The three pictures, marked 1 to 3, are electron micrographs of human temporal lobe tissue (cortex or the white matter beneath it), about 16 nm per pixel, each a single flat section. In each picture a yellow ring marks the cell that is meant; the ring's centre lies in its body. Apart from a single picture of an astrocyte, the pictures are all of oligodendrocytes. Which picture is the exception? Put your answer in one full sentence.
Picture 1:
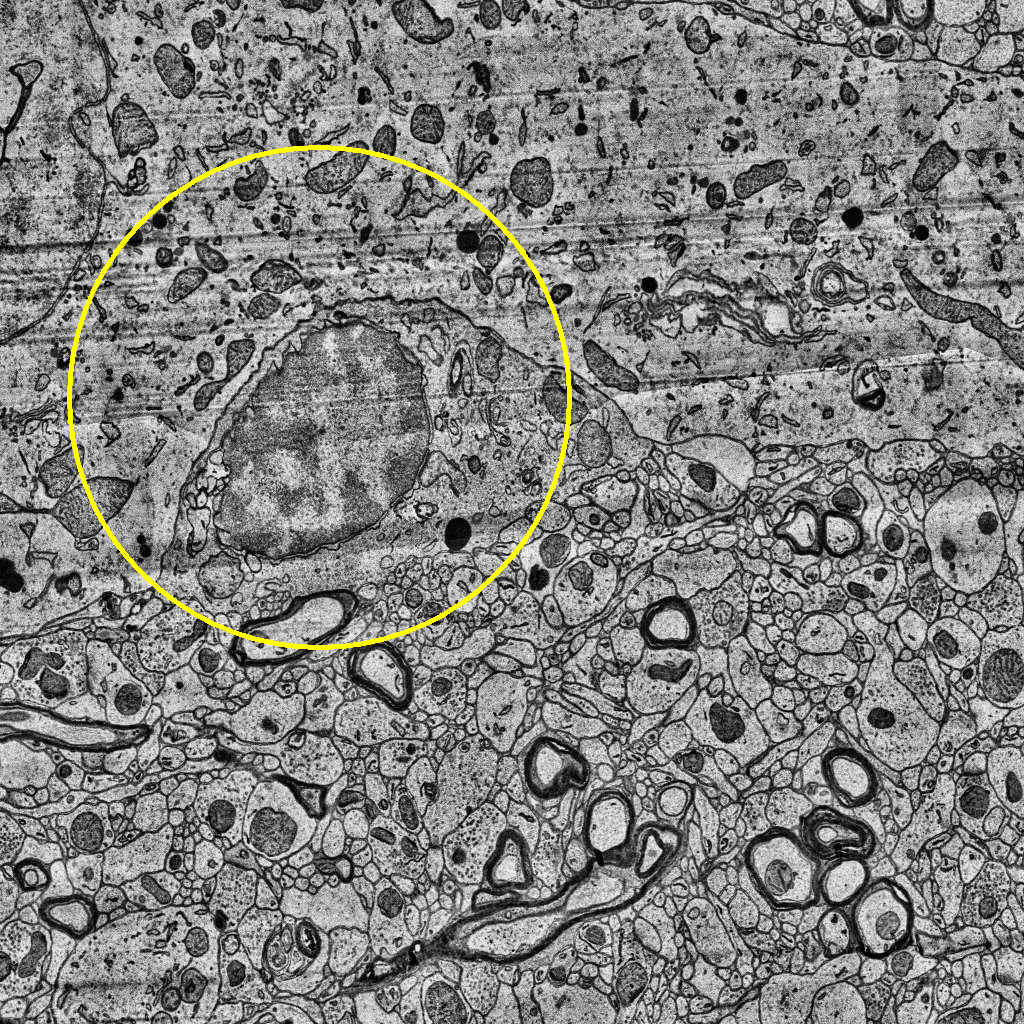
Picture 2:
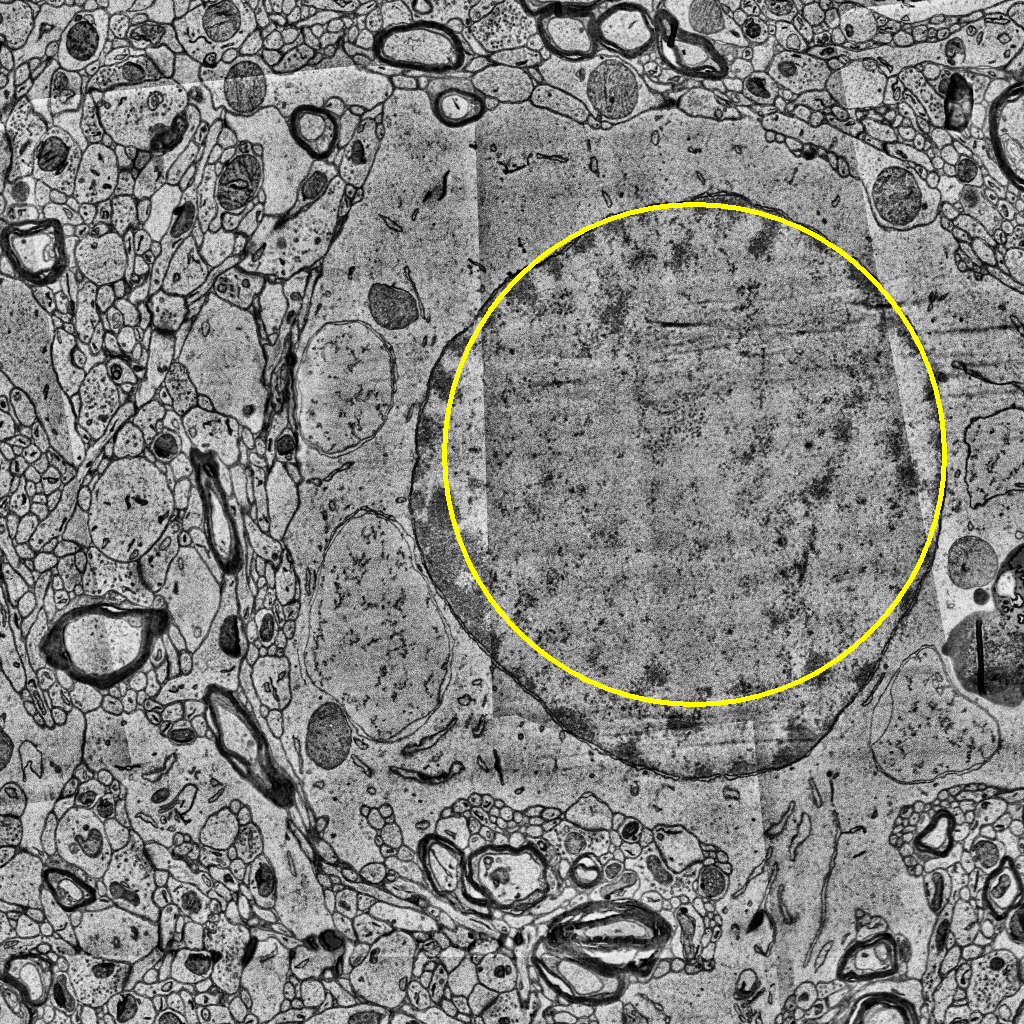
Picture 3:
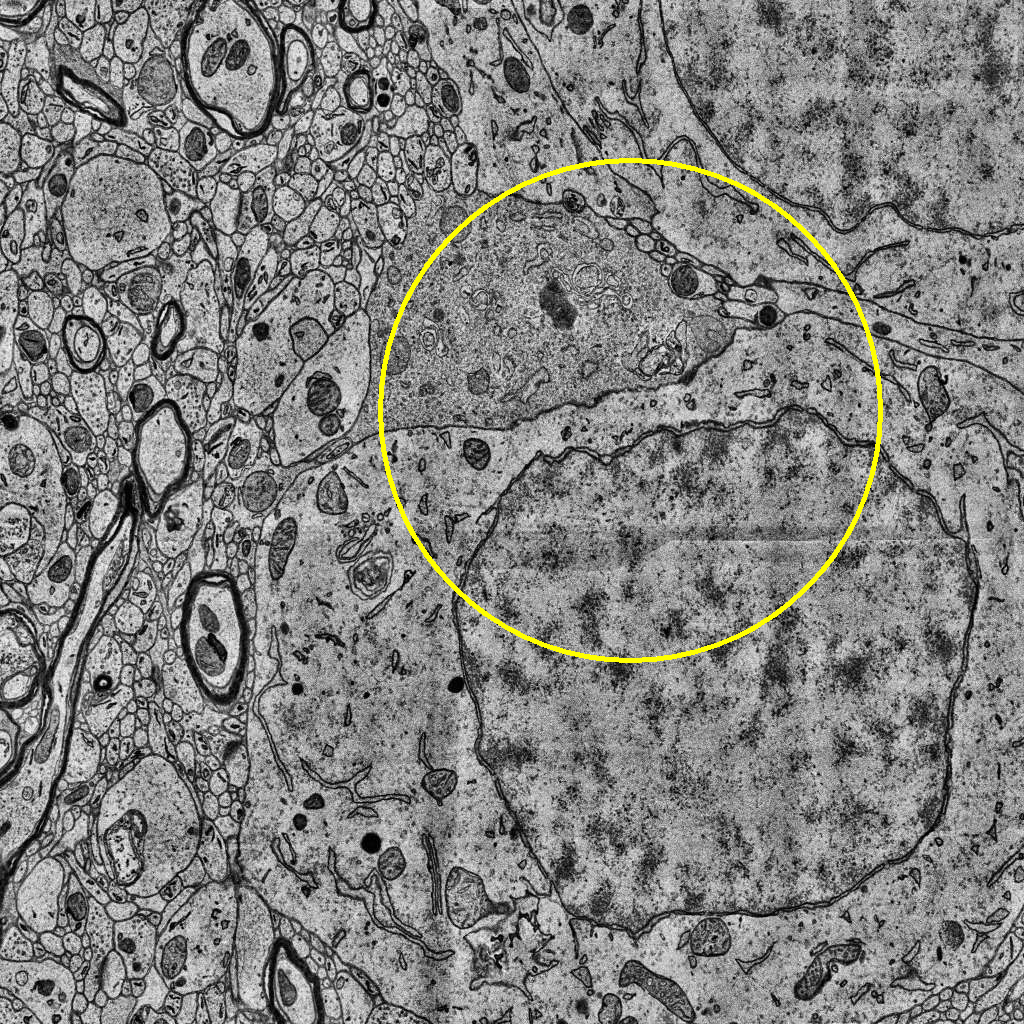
Picture 2 is the one that shows the astrocyte.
